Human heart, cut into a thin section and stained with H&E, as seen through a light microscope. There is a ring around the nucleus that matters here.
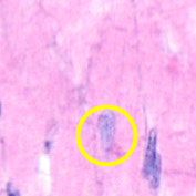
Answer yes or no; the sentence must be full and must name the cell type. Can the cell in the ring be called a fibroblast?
No, on this slide the cell in the ring is a cardiomyocyte, not a fibroblast.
